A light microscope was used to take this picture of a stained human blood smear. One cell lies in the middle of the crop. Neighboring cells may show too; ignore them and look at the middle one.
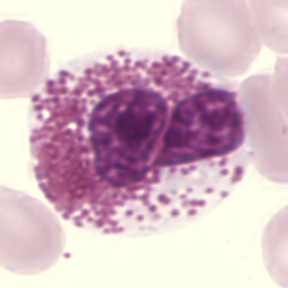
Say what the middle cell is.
eosinophil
